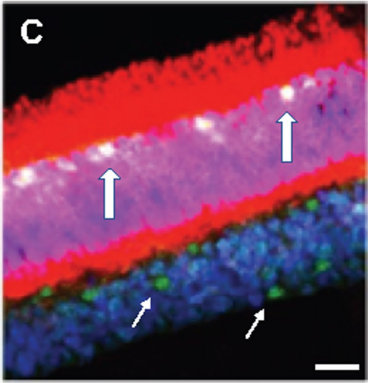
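This is a retinal section showing the layer of photoreceptor nuclei and, below it, the inner nuclear layer. At the top runs a broad red band. Beneath it lies a thick layer of densely packed nuclei, blue overlaid with red, giving a purple tone. Near its upper edge are a few bright white spots. A thinner red band separates this layer from the inner nuclear layer below. That lower layer is made of blue, rounded nuclei. Scattered small green dots lie mainly in its upper part, close to the red band.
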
